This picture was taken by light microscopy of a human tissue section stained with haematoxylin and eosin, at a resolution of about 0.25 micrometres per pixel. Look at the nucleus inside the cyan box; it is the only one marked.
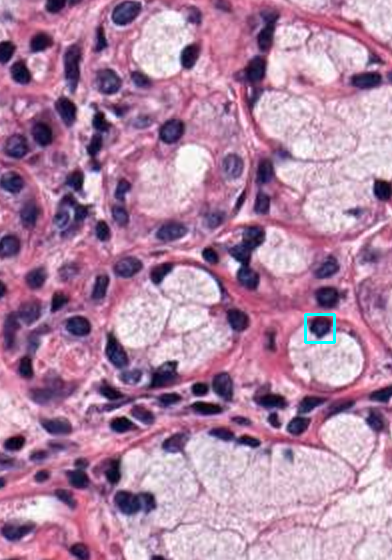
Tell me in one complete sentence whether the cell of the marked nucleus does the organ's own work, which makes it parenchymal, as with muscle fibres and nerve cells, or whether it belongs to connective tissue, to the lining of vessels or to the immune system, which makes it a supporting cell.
The marked nucleus belongs to a cell of the parenchyma, namely a mucous gland cell.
